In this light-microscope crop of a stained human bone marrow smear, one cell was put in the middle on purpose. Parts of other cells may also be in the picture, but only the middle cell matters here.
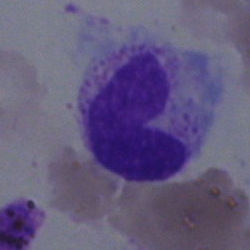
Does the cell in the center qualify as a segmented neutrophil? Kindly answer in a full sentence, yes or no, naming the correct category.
No, the one in the center is not a segmented neutrophil; it is a band neutrophil.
